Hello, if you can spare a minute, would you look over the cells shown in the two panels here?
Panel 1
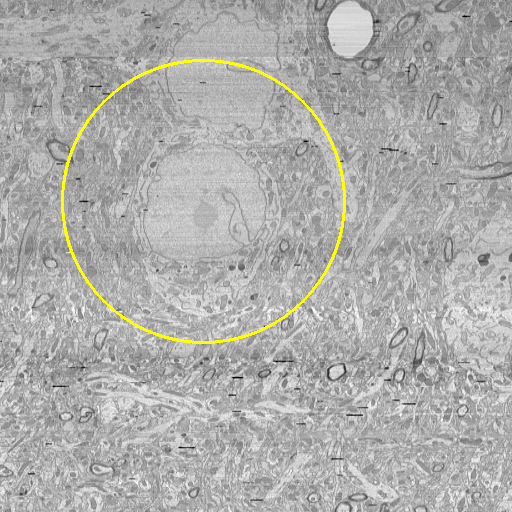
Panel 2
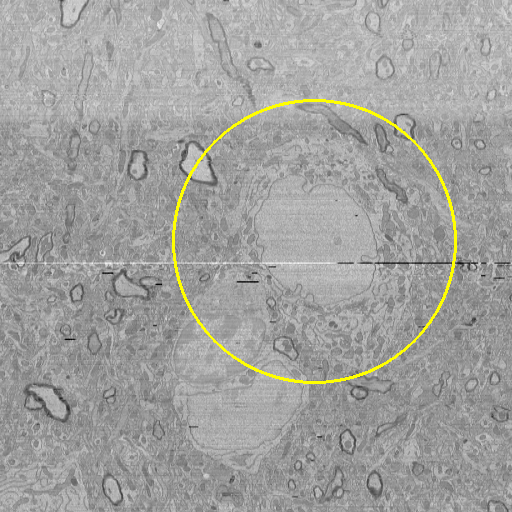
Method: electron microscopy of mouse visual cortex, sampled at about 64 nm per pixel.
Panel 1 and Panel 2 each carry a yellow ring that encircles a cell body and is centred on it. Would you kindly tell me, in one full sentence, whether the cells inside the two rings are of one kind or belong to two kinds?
The cells at the centres of the rings in Panel 1 and Panel 2 are of one kind.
